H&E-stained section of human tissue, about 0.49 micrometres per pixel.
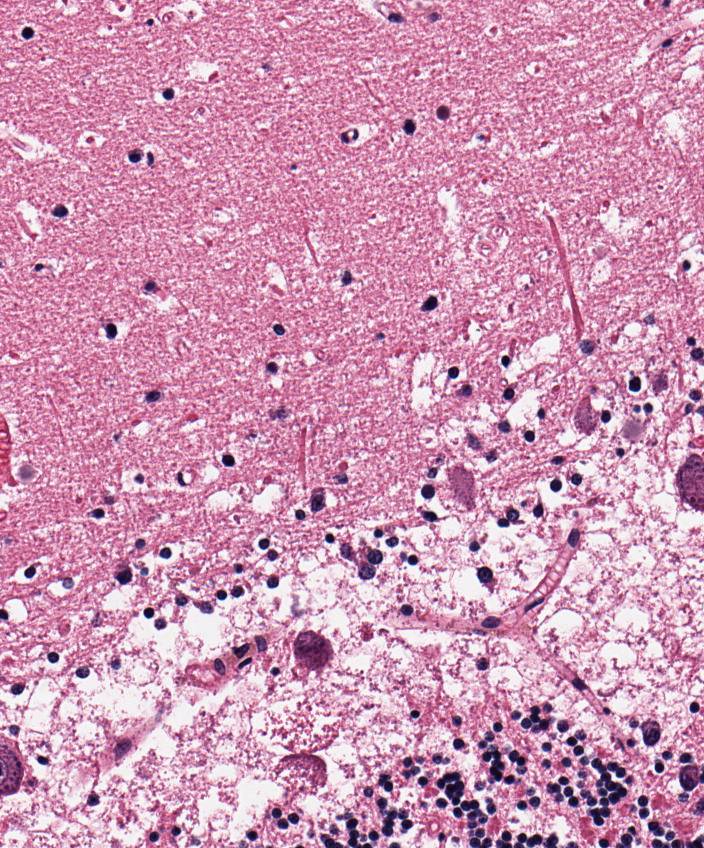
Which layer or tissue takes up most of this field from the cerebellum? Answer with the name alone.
molecular layer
